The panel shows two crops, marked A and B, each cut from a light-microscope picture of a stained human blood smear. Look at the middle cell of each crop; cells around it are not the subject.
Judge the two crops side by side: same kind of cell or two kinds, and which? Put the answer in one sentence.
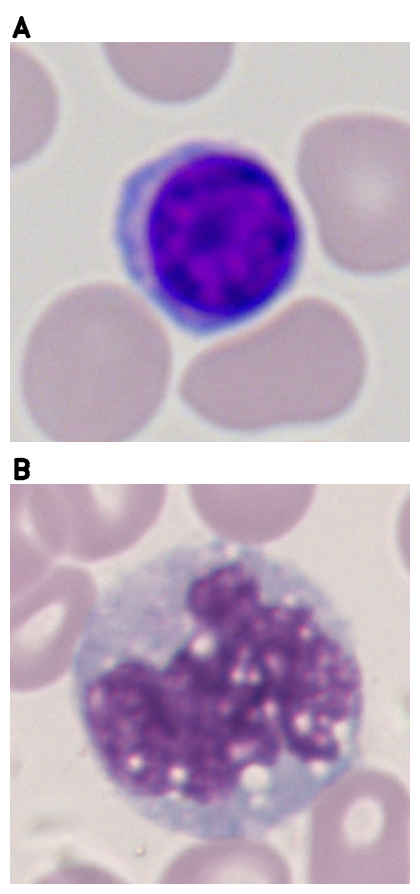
No, crop A shows a lymphocyte, with a monocyte shown in crop B.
